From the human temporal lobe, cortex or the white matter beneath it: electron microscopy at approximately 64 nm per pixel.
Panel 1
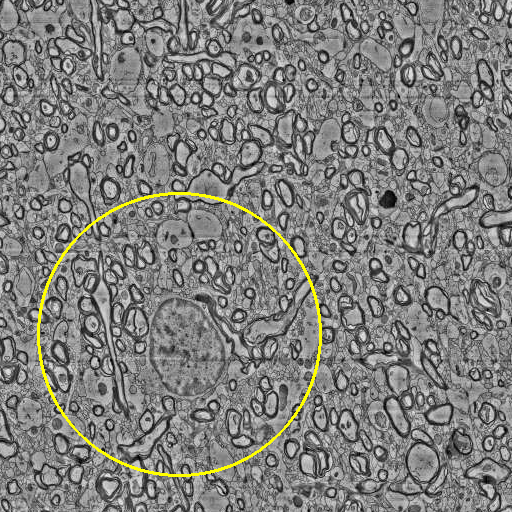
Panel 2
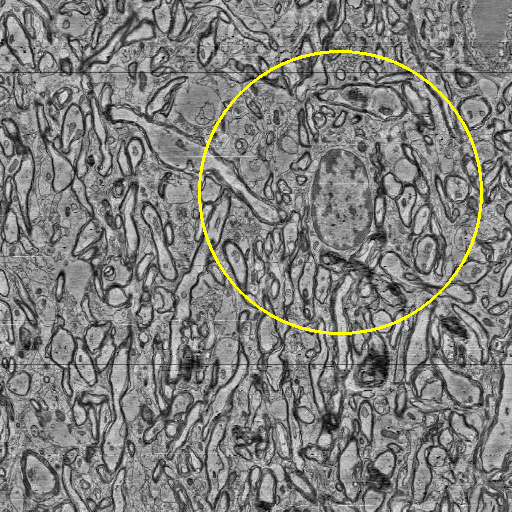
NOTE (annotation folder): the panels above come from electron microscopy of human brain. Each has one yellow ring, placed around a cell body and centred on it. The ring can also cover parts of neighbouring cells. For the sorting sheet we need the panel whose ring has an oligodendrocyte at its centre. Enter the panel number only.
1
